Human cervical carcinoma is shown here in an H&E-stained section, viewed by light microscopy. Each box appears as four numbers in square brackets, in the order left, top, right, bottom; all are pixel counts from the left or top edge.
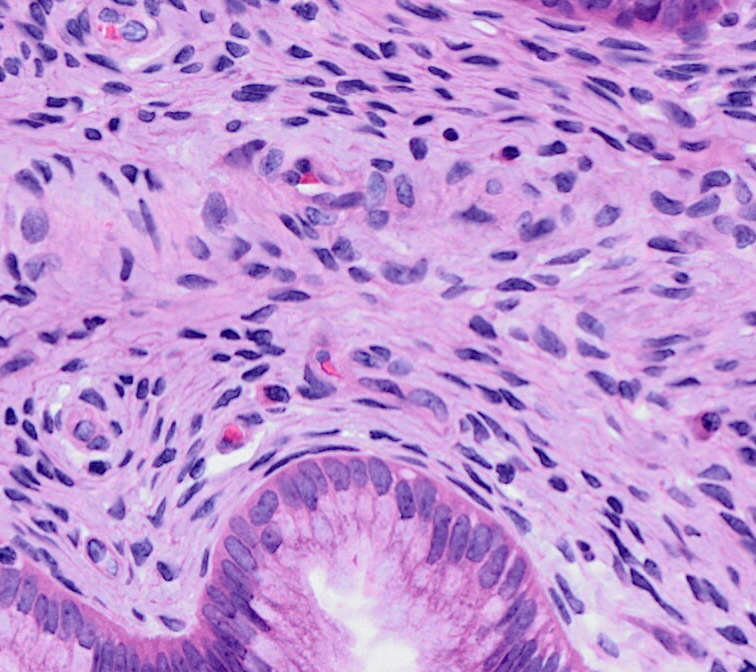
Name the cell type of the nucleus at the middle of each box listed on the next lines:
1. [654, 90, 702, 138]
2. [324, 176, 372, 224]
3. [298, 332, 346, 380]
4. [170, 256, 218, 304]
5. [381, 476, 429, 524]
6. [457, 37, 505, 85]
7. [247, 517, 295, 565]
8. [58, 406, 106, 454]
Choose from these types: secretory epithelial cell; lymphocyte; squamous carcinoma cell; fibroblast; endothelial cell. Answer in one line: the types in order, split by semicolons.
fibroblast; endothelial cell; endothelial cell; fibroblast; secretory epithelial cell; fibroblast; secretory epithelial cell; endothelial cell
